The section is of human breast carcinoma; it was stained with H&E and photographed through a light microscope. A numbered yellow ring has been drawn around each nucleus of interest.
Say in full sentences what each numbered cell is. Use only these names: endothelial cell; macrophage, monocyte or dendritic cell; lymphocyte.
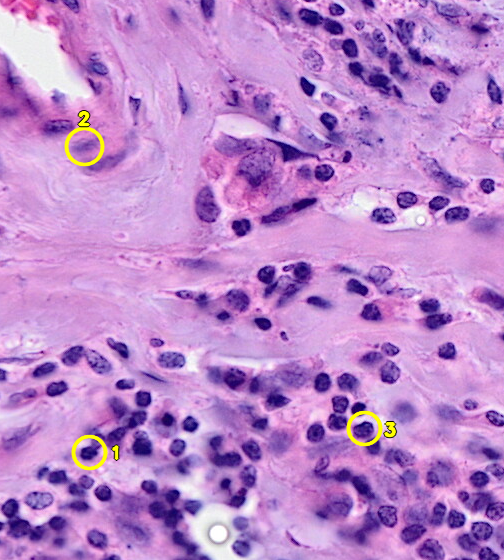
Cell 1 is a lymphocyte, cell 2 is an endothelial cell and cell 3 is a lymphocyte.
